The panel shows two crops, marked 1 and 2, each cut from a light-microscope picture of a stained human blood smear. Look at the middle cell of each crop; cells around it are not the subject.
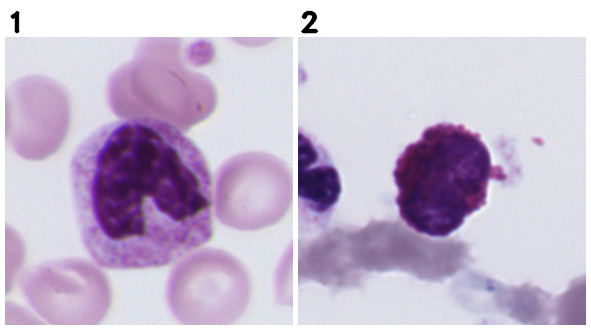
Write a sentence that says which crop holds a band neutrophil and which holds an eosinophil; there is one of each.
In short, crop 1 is a band neutrophil and crop 2 is an eosinophil.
